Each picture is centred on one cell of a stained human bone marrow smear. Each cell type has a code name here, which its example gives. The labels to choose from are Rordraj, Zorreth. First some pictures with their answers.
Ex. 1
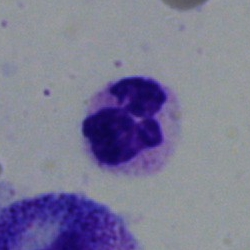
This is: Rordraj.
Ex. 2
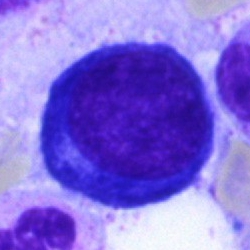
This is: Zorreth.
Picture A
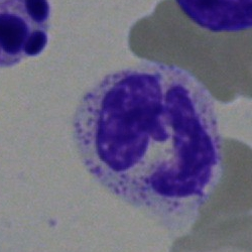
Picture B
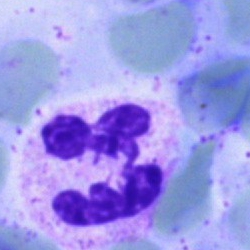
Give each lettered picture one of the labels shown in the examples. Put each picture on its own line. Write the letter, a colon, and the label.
A: Rordraj.
B: Rordraj.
